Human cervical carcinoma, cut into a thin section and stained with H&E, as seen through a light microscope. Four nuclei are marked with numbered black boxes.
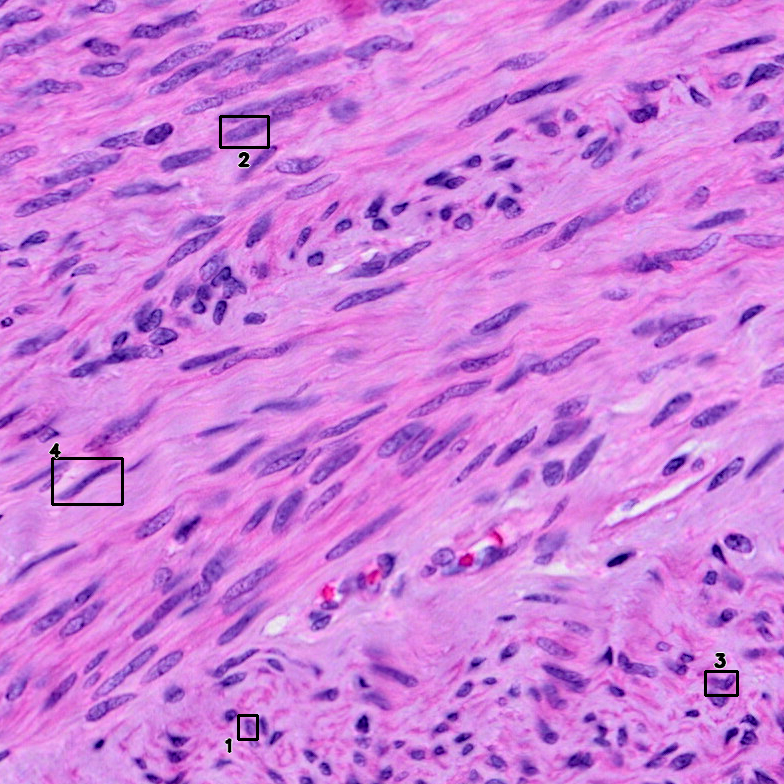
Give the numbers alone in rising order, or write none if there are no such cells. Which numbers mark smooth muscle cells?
1, 2, 3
